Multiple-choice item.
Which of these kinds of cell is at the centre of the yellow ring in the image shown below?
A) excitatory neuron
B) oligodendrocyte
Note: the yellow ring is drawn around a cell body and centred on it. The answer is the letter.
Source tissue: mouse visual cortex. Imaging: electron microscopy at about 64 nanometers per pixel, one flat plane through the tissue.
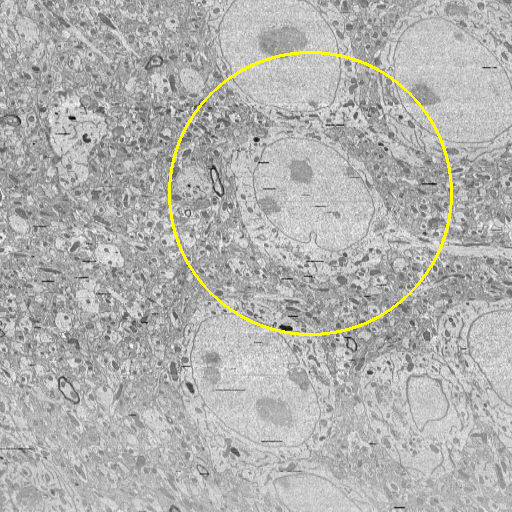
A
